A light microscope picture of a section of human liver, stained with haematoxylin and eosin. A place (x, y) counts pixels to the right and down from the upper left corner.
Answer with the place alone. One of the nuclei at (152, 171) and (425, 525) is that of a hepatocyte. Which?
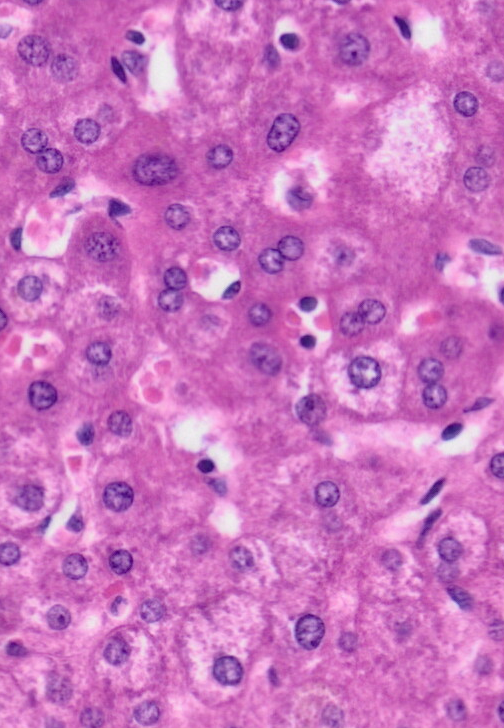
(152, 171)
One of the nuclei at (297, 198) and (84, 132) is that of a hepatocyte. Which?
(84, 132)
